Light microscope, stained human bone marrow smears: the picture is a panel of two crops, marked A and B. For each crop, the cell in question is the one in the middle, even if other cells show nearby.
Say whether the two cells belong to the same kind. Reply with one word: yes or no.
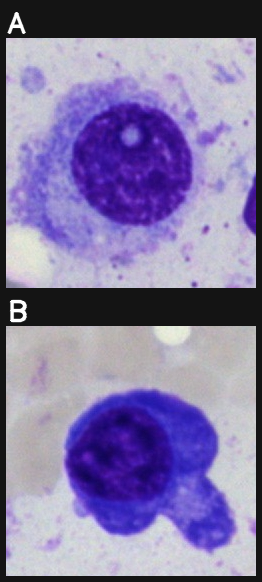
yes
